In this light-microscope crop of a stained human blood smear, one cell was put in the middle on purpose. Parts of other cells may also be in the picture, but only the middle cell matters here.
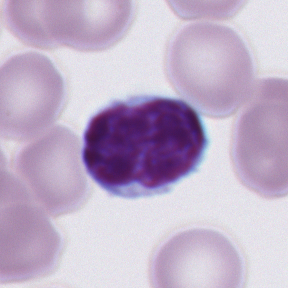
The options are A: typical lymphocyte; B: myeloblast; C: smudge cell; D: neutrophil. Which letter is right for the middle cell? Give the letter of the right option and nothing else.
A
